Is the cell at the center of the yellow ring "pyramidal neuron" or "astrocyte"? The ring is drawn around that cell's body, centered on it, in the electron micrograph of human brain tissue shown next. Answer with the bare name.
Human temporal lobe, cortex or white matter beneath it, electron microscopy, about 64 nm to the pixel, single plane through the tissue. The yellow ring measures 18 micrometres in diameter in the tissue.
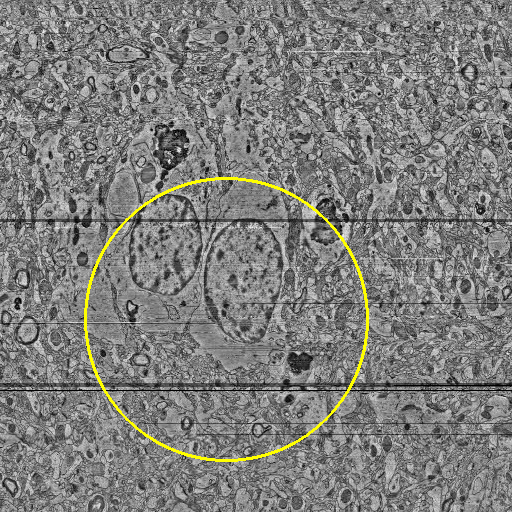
astrocyte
